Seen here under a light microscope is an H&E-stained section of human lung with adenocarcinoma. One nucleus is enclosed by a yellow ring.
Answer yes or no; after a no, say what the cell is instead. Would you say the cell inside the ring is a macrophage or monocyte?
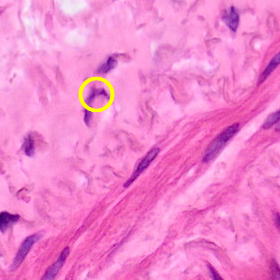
No, it is a fibroblast.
